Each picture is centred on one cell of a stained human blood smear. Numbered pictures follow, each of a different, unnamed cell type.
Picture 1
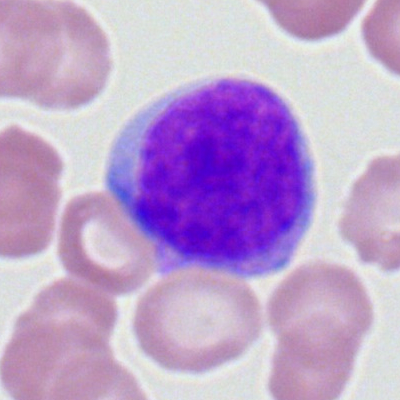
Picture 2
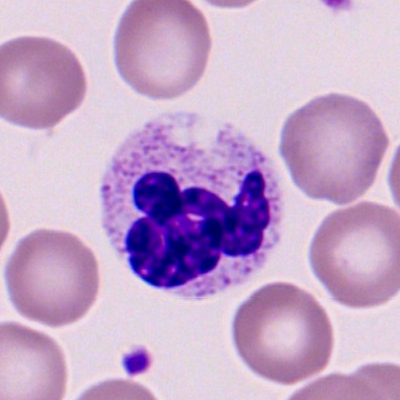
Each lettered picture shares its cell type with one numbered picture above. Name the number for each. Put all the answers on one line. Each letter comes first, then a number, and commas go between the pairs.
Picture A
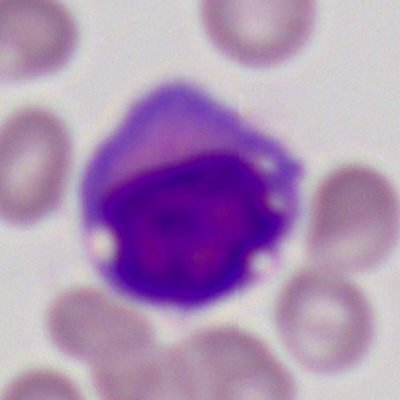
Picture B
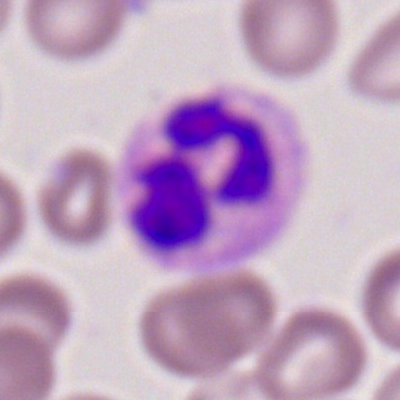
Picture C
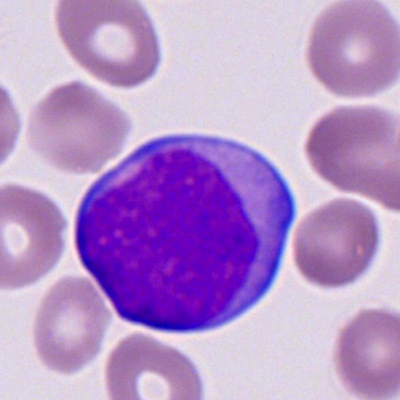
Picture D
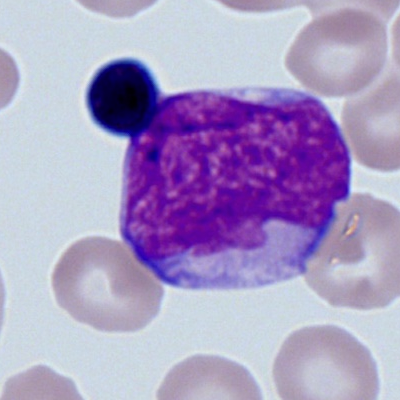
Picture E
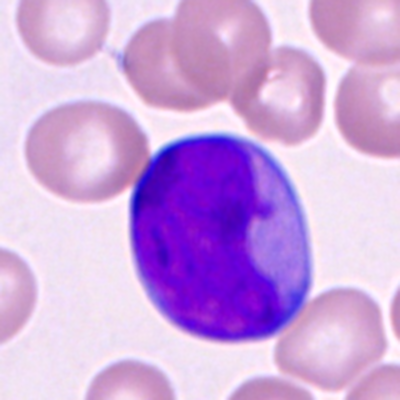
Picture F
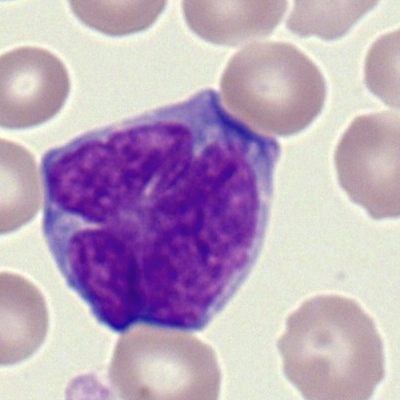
A 1, B 2, C 1, D 1, E 1, F 1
